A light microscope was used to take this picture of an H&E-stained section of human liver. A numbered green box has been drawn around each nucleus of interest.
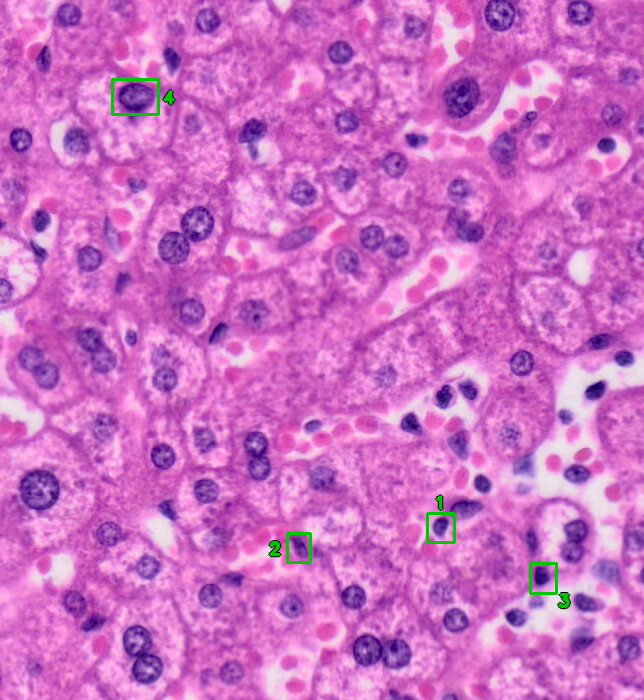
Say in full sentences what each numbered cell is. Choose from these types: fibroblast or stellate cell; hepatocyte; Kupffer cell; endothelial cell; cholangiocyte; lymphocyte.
Cell 1 is a lymphocyte, cell 2 is a Kupffer cell, cell 3 is a fibroblast or stellate cell and cell 4 is a hepatocyte.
